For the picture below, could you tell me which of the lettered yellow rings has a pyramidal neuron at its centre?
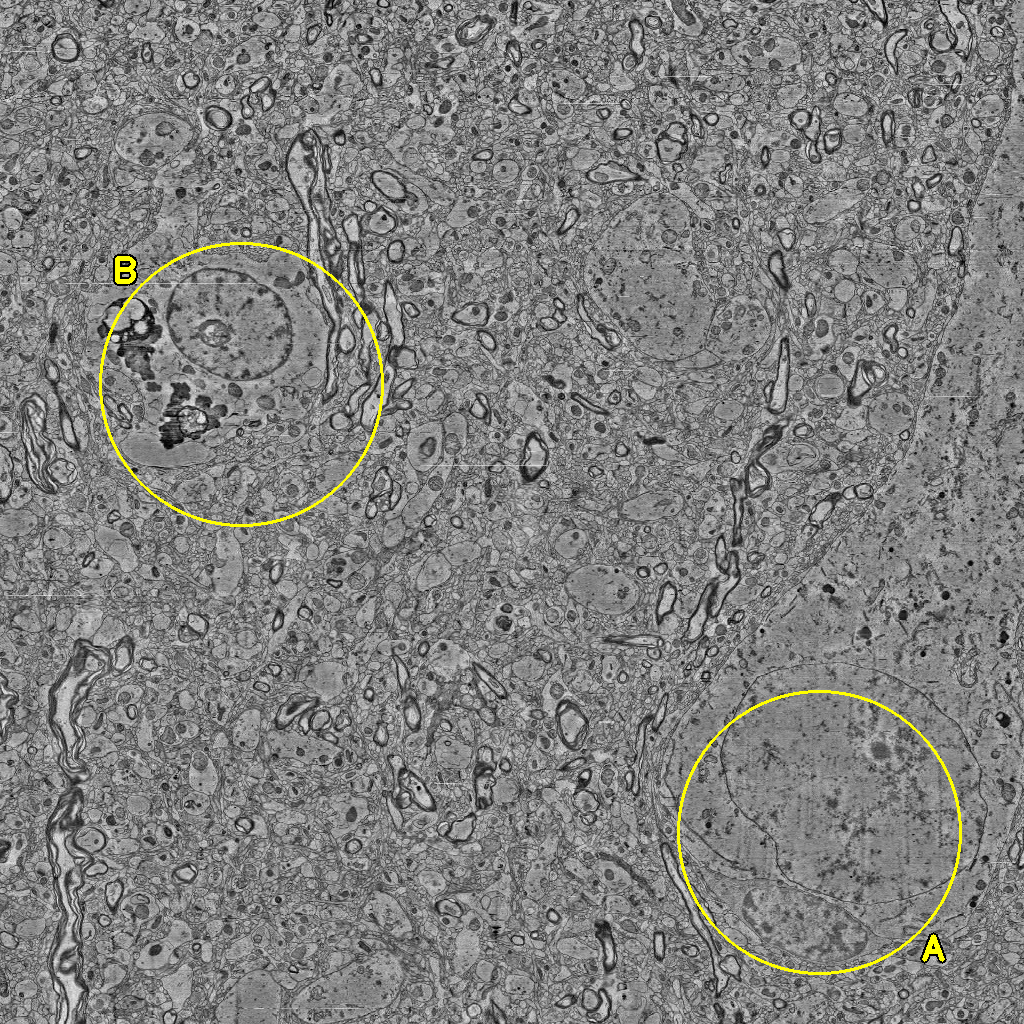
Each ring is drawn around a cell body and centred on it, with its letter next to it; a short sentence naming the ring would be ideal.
Ring A is centred on it.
